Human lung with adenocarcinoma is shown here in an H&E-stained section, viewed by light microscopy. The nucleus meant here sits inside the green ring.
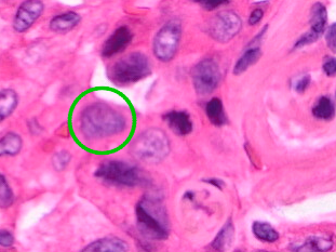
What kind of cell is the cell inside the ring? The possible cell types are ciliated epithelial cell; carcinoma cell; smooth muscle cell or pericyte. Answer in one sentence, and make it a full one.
The classification of the cell inside the ring is as a carcinoma cell.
